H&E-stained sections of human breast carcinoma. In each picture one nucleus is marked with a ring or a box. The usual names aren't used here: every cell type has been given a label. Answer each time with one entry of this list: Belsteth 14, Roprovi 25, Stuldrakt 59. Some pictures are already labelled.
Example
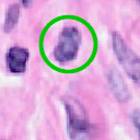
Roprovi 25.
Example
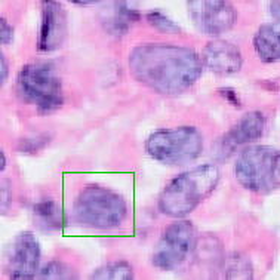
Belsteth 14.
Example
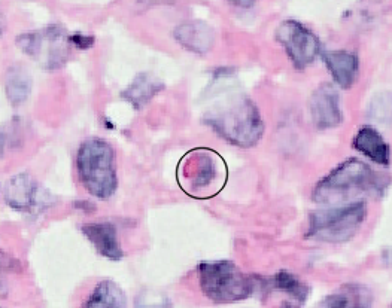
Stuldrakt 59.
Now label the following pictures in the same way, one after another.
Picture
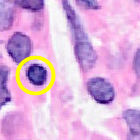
Roprovi 25.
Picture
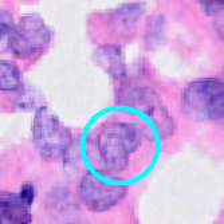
Belsteth 14.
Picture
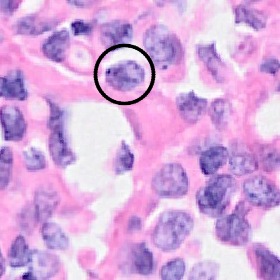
Belsteth 14.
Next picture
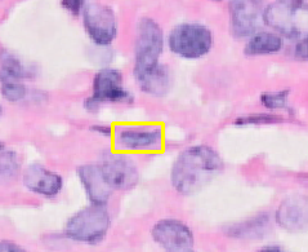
Stuldrakt 59.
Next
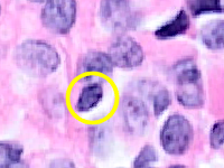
Roprovi 25.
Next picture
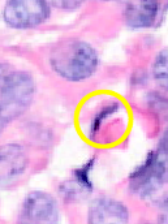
Stuldrakt 59.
